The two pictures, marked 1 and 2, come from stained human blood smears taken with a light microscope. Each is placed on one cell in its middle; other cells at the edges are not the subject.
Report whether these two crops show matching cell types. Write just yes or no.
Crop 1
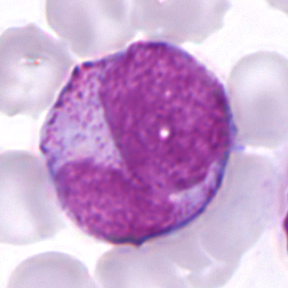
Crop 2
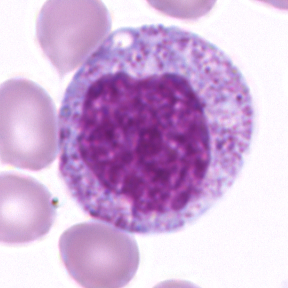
no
